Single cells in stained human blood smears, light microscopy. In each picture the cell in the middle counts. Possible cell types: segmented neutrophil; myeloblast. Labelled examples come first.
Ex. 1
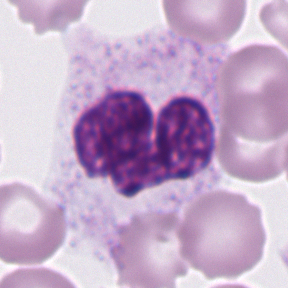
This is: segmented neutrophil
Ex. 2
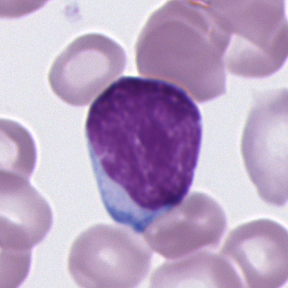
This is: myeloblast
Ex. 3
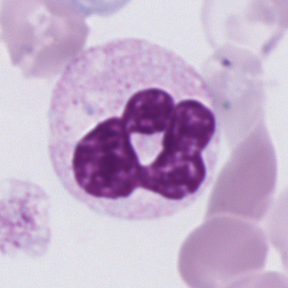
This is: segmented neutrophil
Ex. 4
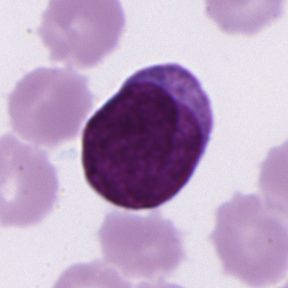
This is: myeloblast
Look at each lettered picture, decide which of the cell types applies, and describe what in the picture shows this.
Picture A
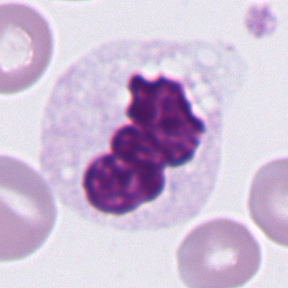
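segmented neutrophil. The cytoplasm is abundant and surrounds the nucleus on all sides.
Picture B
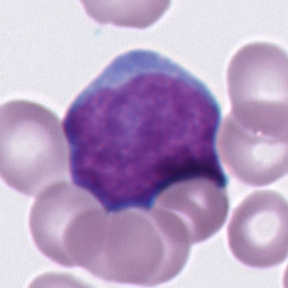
myeloblast. The nucleus is a single unlobed mass that fills most of the cell.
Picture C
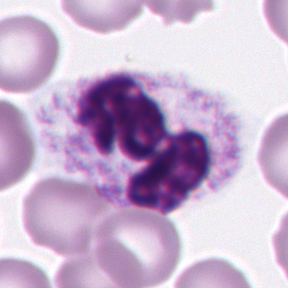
segmented neutrophil. The nucleus is divided into curved lobes running diagonally from upper left to lower right.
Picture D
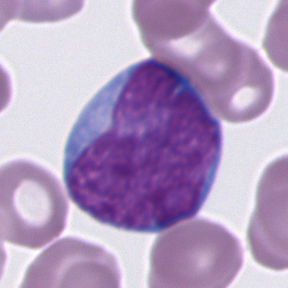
myeloblast. The nucleus fills most of the cell, leaving a crescent of cytoplasm on the left side.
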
